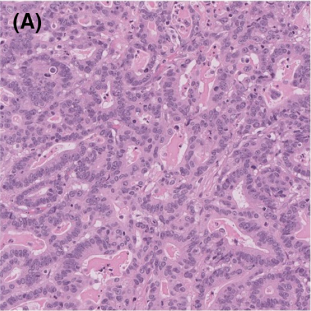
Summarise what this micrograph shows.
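This is an adenocarcinoma made of closely packed, irregular and branching glands, with pink eosin-stained material in some of the lumina. The glands are lined by one or a few layers of tumour cells with enlarged, dark purple nuclei and modest pink cytoplasm. Stroma between the glands is scant, so the glands lie almost back to back. No conspicuous separate population of cells stands out among the gland cells.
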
